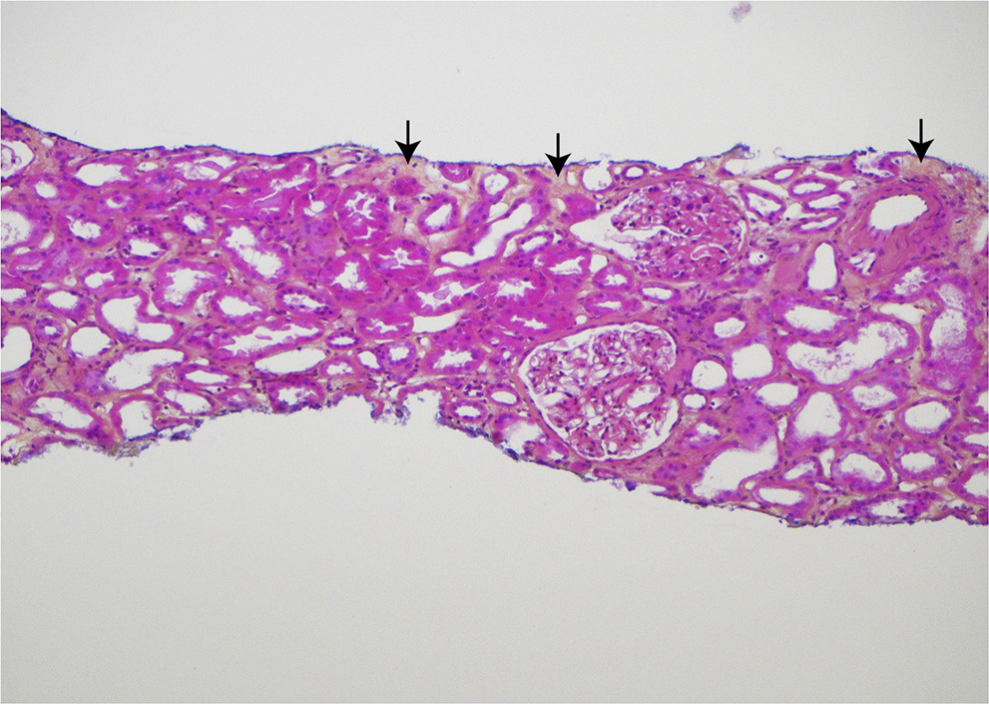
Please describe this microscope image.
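This needle core of kidney cortex shows closely packed tubules and two glomeruli, with small pale yellow areas of interstitial fibrosis between the tubules. The tubules are lined by pink-staining epithelial cells with small dark nuclei, and many have open, clear lumens. The two glomeruli are round tufts of capillary loops held within a thin capsule, with a narrow clear space between tuft and capsule. The interstitium between the tubules is mostly thin, and no dense collections of small dark inflammatory cells are seen. Near the right edge a small vessel with a thick pink wall and an open lumen can be made out.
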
